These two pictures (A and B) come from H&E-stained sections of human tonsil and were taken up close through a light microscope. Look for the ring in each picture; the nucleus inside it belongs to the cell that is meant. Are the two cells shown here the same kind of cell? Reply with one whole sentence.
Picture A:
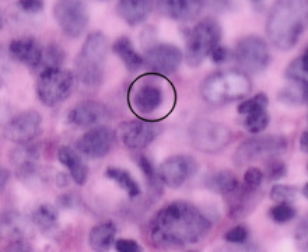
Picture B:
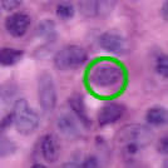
No, the types are not the same, since picture A shows a proliferating B cell and picture B a squamous epithelial cell.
